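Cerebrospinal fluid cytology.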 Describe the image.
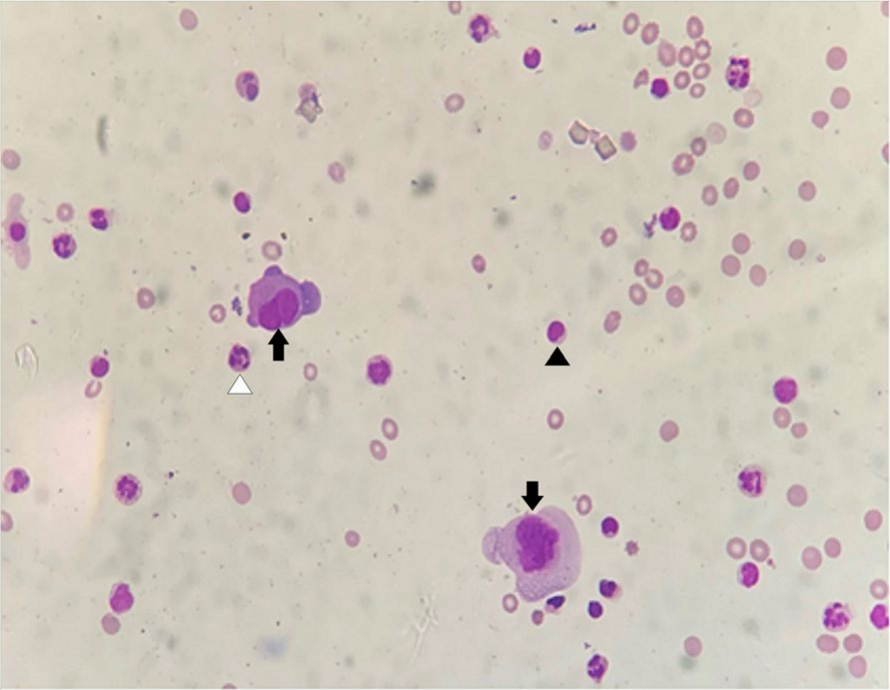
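The atypical cells stand out by their size. They are many times larger than the surrounding cells and have big purple nuclei. Each nucleus is set in abundant pale violet cytoplasm, and the cell outline is irregular with rounded blebs. The lymphocytes are small round cells with dense dark nuclei and little cytoplasm. The neutrophils have lobed, clumped nuclei. Many pale pink red cells are spread across the light background. The cells are scattered singly, not in clusters.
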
